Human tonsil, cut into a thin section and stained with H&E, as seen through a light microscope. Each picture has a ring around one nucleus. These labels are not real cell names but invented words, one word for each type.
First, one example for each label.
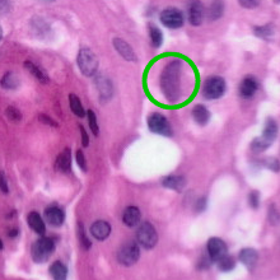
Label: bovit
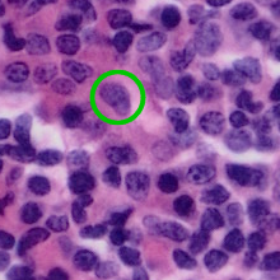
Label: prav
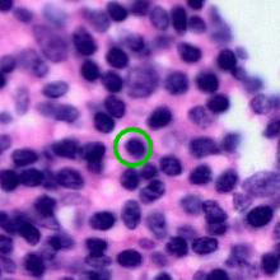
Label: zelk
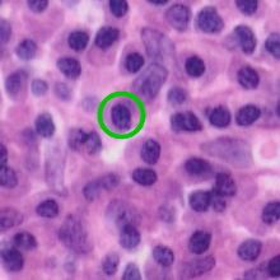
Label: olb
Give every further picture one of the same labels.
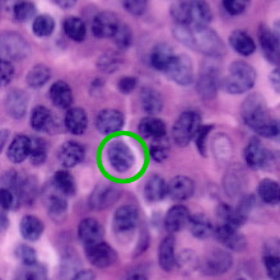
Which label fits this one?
olb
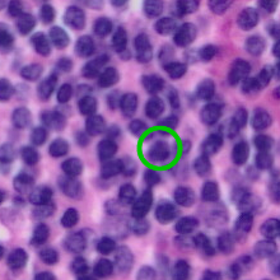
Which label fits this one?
zelk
